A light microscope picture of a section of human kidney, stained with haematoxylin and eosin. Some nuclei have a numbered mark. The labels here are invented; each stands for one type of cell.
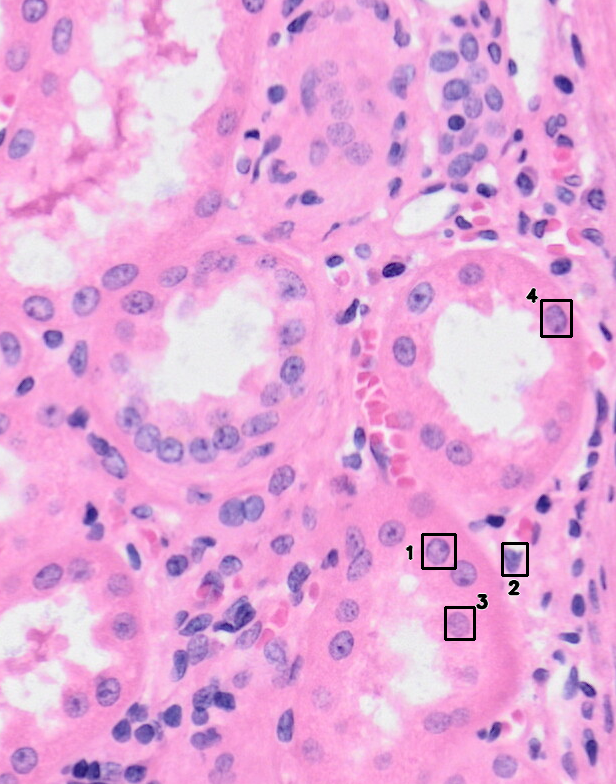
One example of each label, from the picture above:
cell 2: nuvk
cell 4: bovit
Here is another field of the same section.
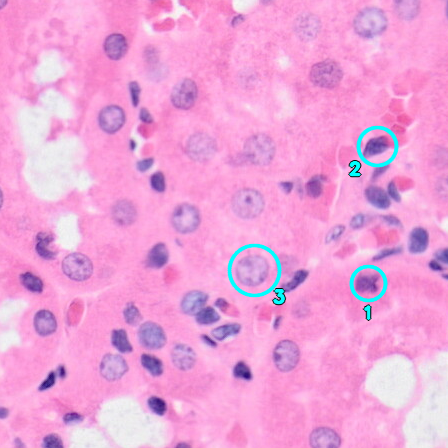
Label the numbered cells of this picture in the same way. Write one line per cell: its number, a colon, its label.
1: bovit
2: nuvk
3: bovit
